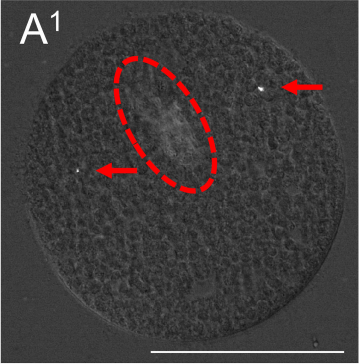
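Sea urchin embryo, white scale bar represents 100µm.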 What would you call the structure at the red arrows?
spicules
